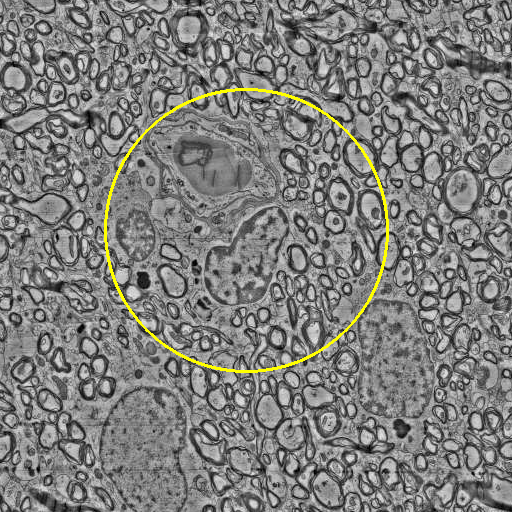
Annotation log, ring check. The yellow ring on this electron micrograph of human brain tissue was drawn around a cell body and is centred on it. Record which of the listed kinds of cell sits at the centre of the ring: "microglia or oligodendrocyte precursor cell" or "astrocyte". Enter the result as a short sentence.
The cell at the centre of the ring is a microglial cell or oligodendrocyte precursor cell.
